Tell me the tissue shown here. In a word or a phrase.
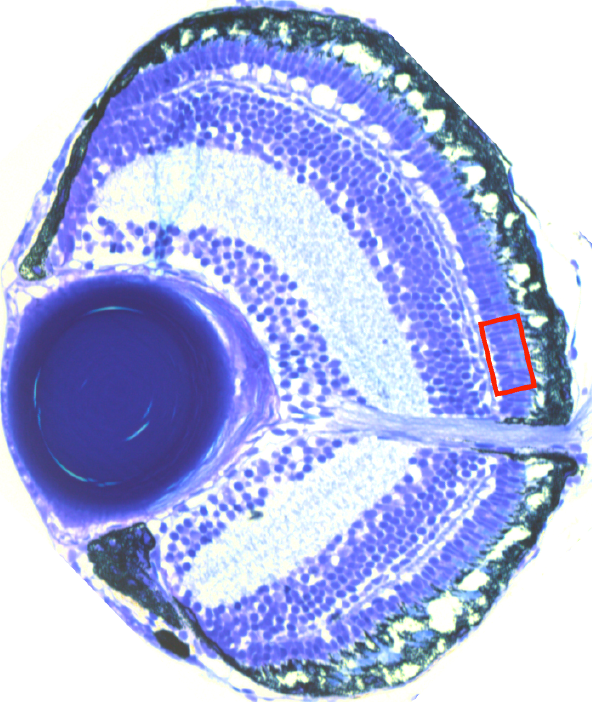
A: Larval retina.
